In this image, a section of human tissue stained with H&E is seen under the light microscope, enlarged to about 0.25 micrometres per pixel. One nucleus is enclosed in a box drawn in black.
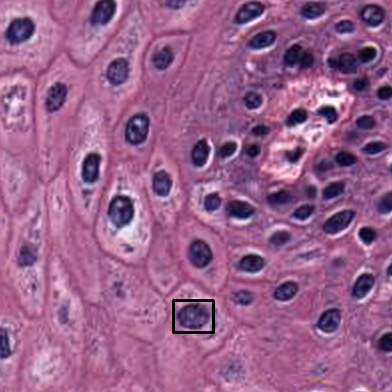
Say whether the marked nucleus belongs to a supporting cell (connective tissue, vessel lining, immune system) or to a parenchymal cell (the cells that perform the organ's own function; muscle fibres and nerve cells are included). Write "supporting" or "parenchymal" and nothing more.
parenchymal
